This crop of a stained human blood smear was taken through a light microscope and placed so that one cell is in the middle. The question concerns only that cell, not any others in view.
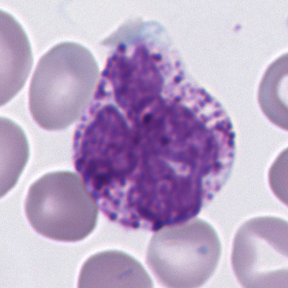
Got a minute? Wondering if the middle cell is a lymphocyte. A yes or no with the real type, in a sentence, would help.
No, the cell in the middle of the crop counts as a basophil and not as a lymphocyte.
